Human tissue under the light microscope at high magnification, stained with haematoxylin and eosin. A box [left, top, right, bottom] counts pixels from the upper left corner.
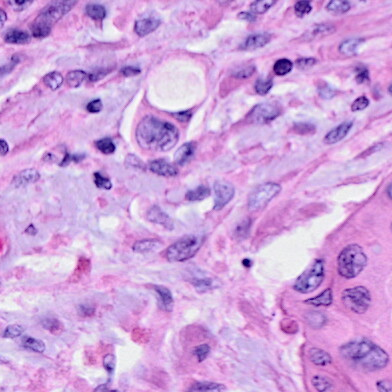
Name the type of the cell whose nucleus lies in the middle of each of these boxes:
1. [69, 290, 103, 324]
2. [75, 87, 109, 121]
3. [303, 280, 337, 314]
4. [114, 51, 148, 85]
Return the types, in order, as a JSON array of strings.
["fibroblast", "lymphocyte", "squamous carcinoma cell", "fibroblast"]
